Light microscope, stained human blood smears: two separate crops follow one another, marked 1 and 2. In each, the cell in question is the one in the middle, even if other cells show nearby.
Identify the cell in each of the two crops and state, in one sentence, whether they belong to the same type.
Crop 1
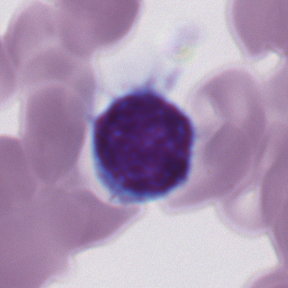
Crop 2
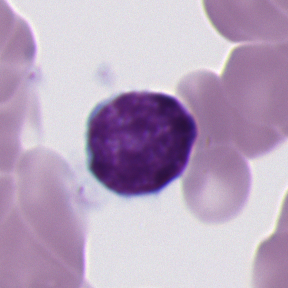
Yes, the two crops are alike in showing typical lymphocytes.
